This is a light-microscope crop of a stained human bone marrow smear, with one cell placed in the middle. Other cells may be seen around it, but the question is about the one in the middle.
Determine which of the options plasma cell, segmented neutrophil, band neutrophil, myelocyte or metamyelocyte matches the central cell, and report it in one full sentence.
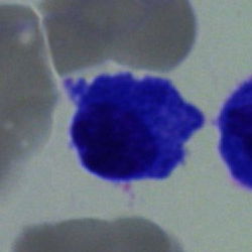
In the crop, the cell of interest at the centre is a plasma cell.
